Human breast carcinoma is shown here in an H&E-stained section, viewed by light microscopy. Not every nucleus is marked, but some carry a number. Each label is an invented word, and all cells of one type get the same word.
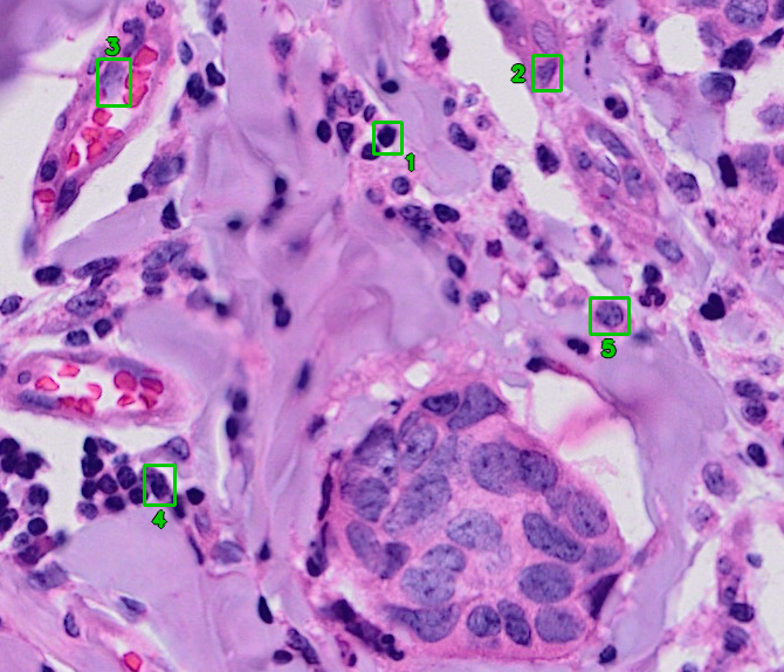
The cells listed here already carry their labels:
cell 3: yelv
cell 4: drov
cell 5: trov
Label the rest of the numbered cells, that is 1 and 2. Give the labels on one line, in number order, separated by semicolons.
drov; yelv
